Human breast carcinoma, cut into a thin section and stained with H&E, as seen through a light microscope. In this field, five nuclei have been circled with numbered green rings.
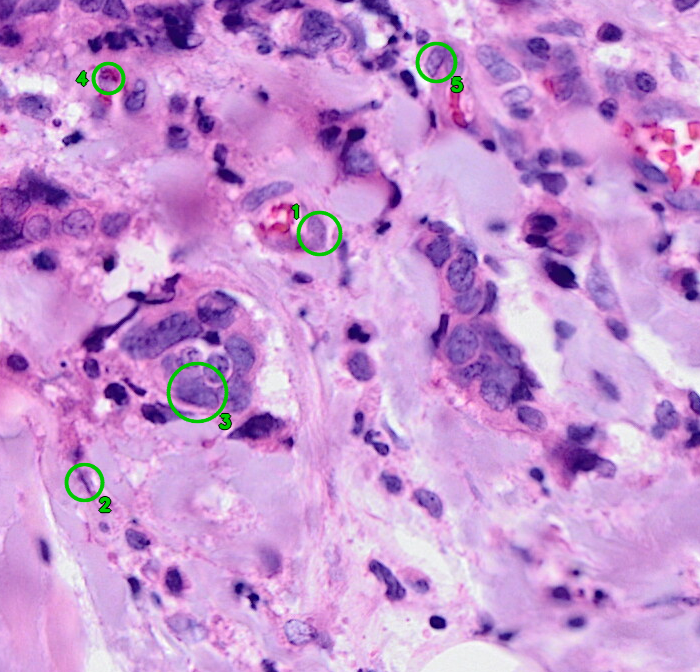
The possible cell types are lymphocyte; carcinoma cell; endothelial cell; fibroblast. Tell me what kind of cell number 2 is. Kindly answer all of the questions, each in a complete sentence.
Cell 2 in the field of view is a fibroblast.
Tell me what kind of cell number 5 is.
The cell marked with number 5 is an endothelial cell.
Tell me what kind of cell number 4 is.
The mark numbered 4 indicates the nucleus of an endothelial cell.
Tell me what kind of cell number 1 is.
The cell identified by number 1 is an endothelial cell.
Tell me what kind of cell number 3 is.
The marked cell with the number 3 is recognised as a carcinoma cell.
